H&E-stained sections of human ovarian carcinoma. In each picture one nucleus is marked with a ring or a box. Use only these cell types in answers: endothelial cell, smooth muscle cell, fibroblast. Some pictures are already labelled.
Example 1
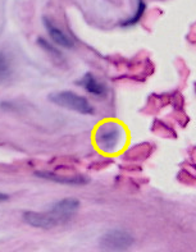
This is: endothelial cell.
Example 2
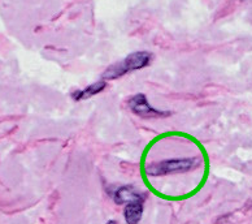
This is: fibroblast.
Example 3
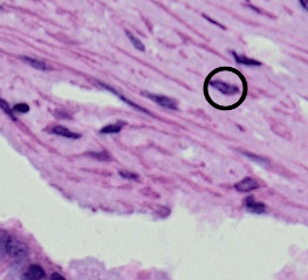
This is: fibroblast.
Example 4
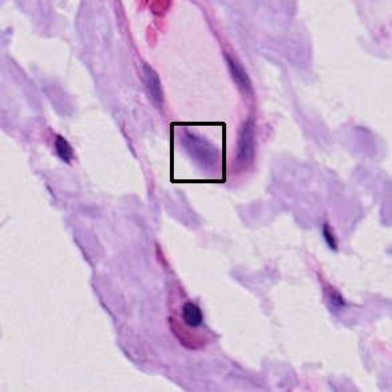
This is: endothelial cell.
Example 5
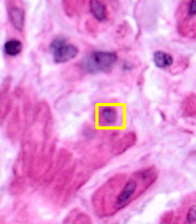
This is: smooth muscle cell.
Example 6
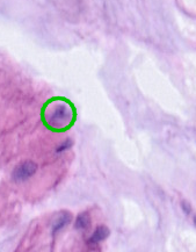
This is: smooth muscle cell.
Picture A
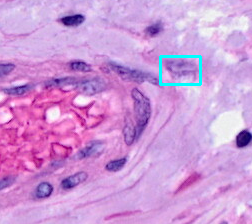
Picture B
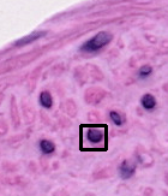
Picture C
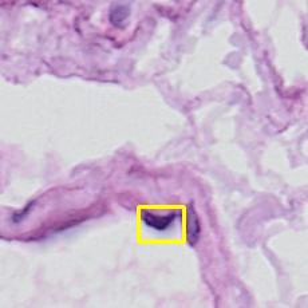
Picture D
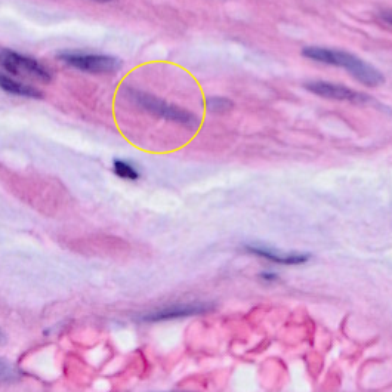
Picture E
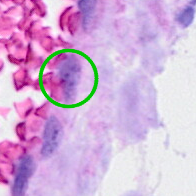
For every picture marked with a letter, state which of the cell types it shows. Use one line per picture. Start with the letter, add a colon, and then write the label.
A: fibroblast.
B: smooth muscle cell.
C: endothelial cell.
D: smooth muscle cell.
E: endothelial cell.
